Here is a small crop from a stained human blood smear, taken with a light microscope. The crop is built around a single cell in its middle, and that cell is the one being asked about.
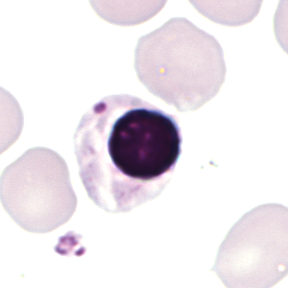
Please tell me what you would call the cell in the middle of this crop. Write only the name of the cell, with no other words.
normoblast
